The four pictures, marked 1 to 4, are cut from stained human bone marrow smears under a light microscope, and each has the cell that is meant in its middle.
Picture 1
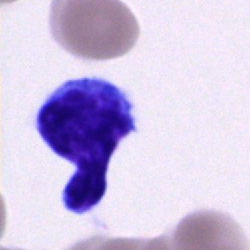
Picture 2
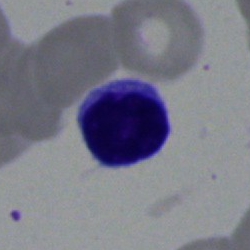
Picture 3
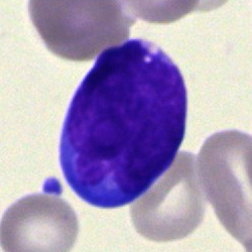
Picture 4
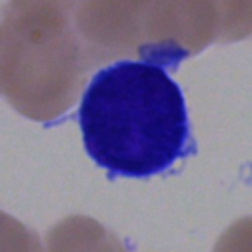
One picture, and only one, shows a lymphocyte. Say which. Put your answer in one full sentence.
The lymphocyte is the one in picture 2.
